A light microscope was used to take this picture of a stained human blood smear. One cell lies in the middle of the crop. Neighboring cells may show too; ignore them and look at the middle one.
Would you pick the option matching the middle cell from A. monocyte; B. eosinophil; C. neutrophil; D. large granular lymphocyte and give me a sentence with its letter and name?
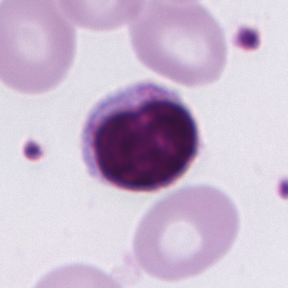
The cell in the middle is a large granular lymphocyte, and so option D is correct.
